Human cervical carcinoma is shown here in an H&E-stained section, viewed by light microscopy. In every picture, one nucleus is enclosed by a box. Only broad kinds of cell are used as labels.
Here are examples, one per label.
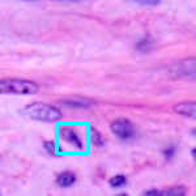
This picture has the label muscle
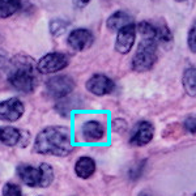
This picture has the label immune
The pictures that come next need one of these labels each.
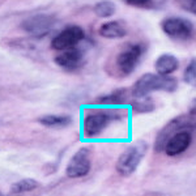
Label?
immune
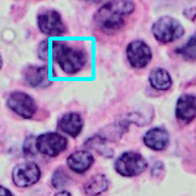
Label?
immune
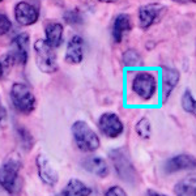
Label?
immune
